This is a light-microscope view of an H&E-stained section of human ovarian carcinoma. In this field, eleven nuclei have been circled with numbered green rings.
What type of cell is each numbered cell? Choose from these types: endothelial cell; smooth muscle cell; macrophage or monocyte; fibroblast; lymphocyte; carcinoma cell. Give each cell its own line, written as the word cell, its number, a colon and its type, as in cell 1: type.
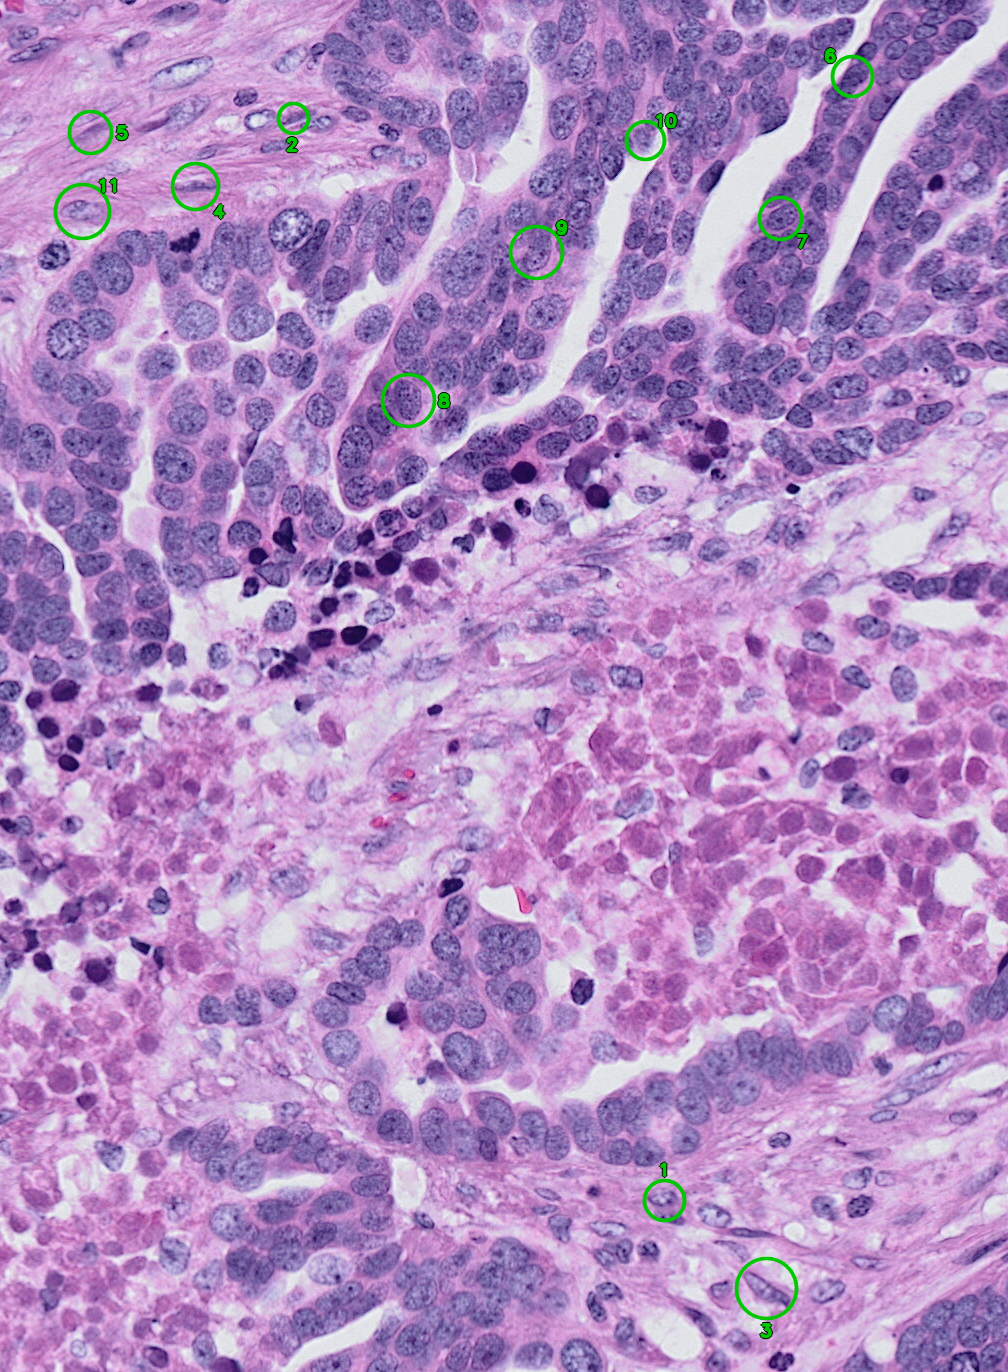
cell 1: fibroblast
cell 2: fibroblast
cell 3: fibroblast
cell 4: fibroblast
cell 5: fibroblast
cell 6: carcinoma cell
cell 7: carcinoma cell
cell 8: carcinoma cell
cell 9: carcinoma cell
cell 10: carcinoma cell
cell 11: fibroblast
